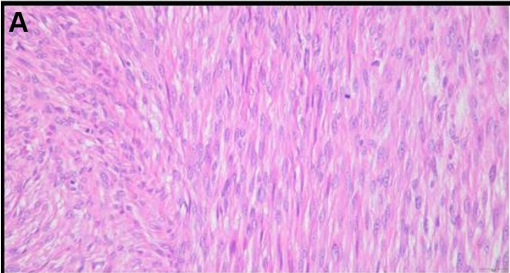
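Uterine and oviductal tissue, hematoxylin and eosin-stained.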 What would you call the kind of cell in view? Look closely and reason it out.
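Spindle-shaped cells. Cells are elongated with tapered ends. Nuclei are oval to cigar-shaped and aligned in streams. Cytoplasm is pink and borders between cells are not clear.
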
